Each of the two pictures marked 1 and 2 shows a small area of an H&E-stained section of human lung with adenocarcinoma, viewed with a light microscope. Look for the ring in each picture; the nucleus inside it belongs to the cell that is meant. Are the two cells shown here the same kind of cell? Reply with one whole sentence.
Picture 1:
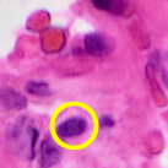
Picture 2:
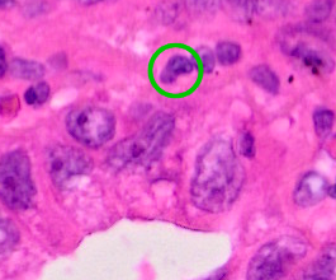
Yes, both are lymphocytes.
